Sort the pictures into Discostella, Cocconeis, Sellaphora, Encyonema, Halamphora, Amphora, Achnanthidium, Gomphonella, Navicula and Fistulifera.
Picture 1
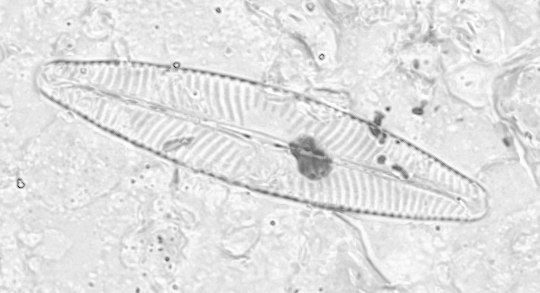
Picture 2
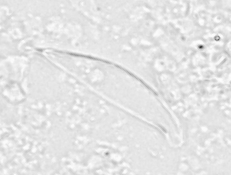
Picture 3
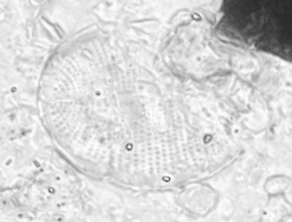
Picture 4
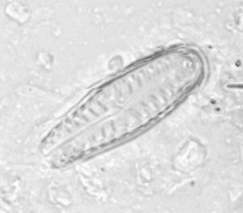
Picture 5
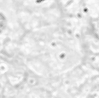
Navicula: 1
Halamphora: 2
Cocconeis: 3
Gomphonella: 4
Discostella: 5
